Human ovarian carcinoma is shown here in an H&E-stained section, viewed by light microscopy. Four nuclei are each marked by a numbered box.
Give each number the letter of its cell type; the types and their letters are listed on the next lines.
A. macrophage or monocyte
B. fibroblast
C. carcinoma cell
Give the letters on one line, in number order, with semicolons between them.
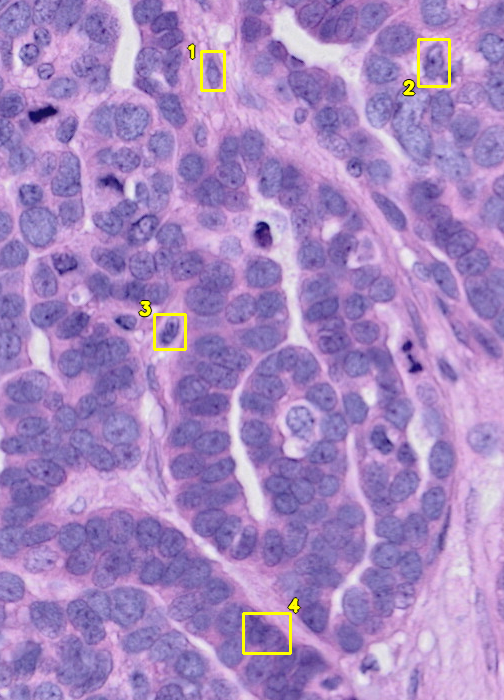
B; A; A; C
